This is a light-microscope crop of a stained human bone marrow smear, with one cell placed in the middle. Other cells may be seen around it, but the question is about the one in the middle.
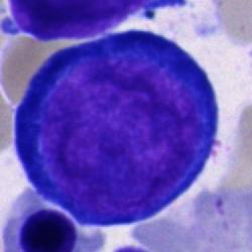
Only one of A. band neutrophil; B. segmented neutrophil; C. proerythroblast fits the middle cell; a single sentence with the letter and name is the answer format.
Occupying the middle of the crop is a proerythroblast, hence option C is correct.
